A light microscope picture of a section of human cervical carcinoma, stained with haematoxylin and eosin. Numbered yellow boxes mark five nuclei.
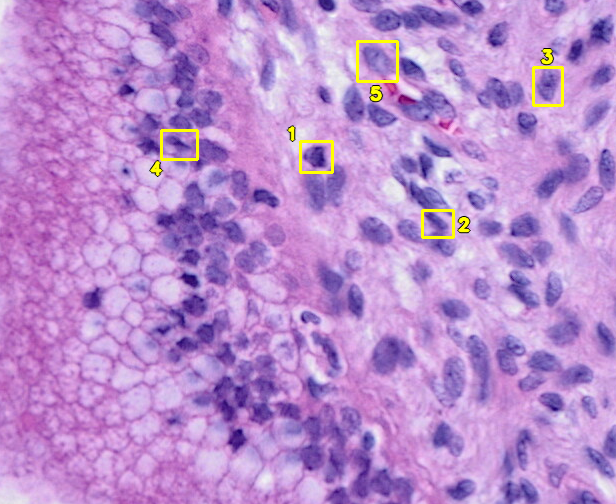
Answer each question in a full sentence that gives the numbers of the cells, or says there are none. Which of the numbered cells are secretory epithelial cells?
Among the labelled cells, only the cell labelled 4 is a secretory epithelial cell.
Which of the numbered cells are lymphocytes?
Nothing but cell 1 is a lymphocyte among the numbered ones.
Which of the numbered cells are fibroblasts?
The cells tagged with numbers 2 and 3 are fibroblasts.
